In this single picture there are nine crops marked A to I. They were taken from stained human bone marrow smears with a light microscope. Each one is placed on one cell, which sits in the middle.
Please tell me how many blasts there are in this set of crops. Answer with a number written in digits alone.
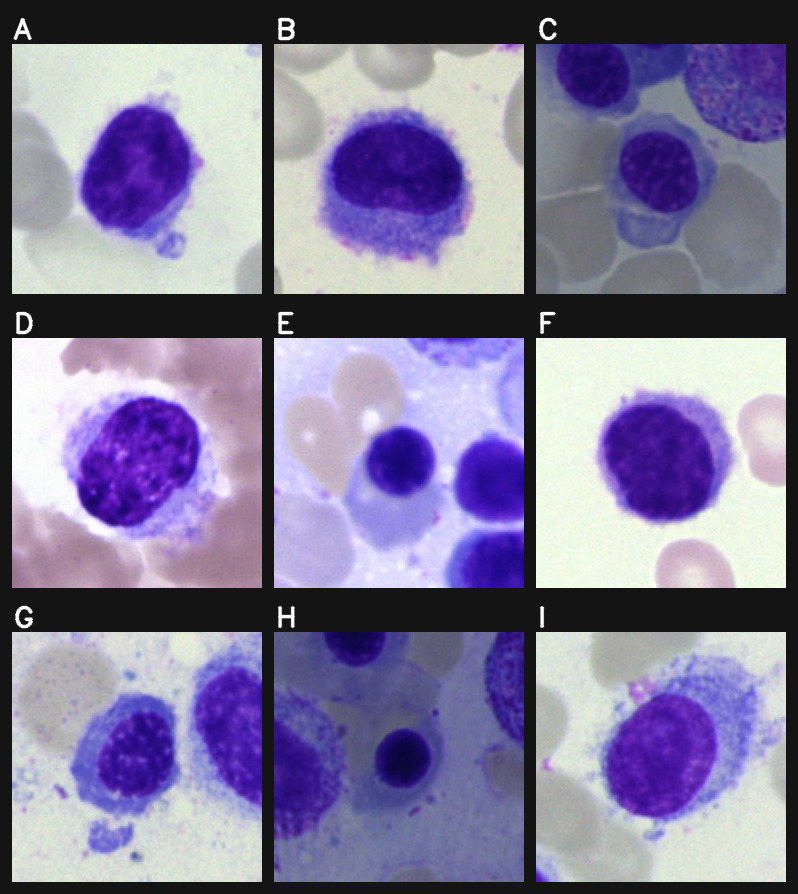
0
